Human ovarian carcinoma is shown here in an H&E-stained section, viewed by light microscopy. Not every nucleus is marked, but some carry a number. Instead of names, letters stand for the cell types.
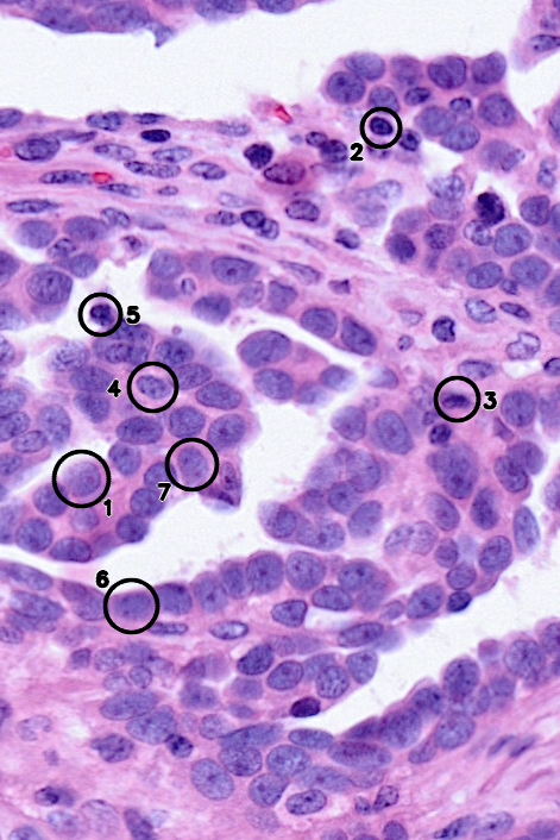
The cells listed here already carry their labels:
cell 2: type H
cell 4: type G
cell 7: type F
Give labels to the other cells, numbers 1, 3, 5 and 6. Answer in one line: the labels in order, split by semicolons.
type F; type H; type H; type F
